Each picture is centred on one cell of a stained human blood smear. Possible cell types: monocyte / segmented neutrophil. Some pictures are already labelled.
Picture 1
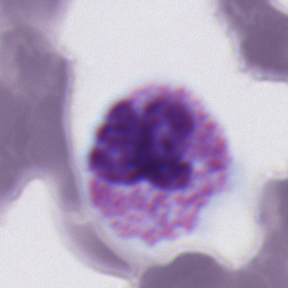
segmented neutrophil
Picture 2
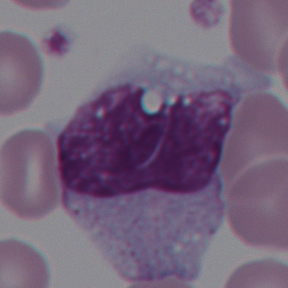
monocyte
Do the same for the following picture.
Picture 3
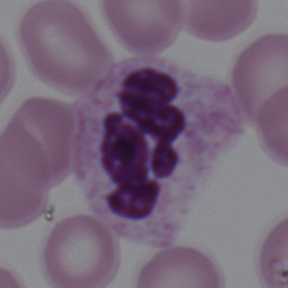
segmented neutrophil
